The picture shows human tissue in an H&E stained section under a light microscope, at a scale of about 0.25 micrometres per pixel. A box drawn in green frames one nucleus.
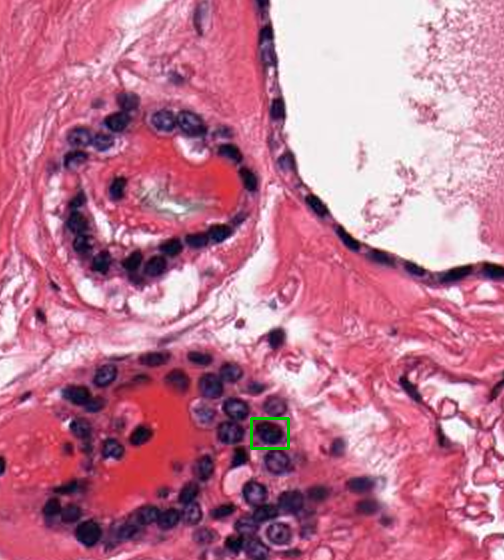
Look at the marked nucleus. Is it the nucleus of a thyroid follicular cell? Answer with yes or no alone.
yes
